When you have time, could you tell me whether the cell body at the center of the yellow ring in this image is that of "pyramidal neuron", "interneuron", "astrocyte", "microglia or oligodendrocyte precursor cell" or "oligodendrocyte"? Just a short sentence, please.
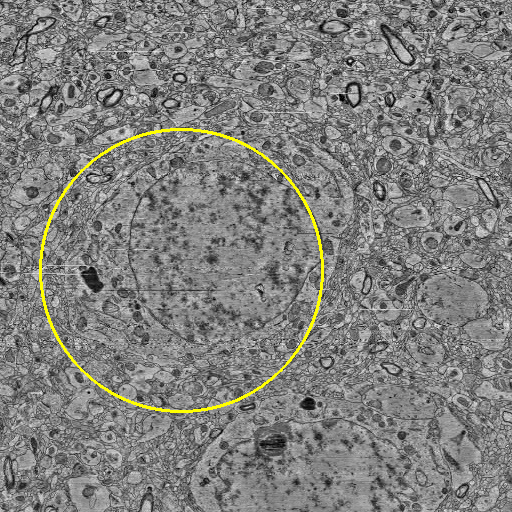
The cell body at the center of the ring is that of an interneuron.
